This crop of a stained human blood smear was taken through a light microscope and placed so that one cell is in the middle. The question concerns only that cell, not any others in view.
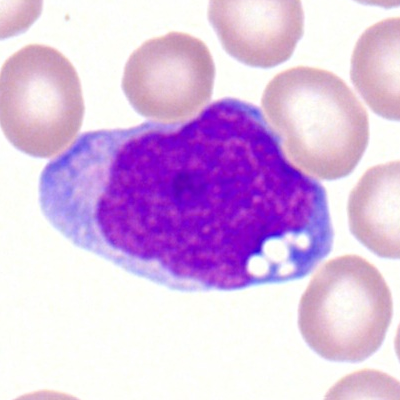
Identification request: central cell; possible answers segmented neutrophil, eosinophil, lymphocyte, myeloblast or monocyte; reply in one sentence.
The cell under consideration, at the middle of the crop, is a myeloblast.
